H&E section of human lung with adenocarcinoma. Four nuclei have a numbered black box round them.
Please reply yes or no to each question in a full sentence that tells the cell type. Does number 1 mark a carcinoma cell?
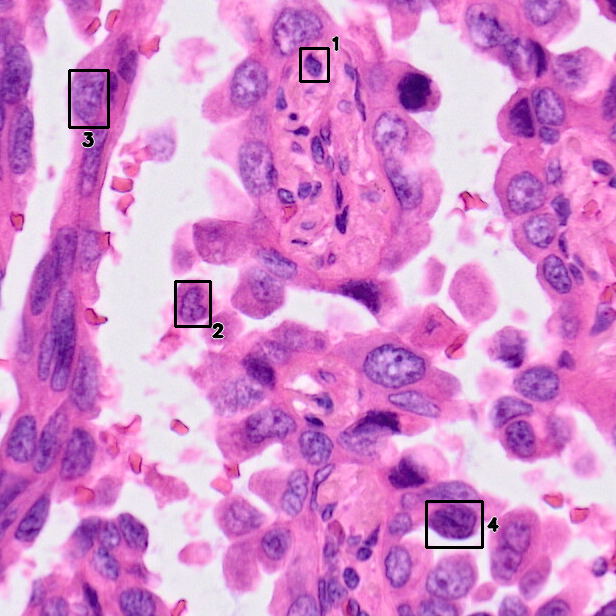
No, the cell numbered 1 is a lymphocyte rather than a carcinoma cell.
